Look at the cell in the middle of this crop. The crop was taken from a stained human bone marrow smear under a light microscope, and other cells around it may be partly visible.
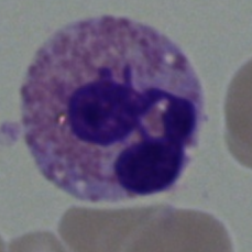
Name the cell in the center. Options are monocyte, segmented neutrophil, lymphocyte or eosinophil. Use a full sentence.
The centrally placed cell is classified as an eosinophil.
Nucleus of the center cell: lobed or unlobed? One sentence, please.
Kindly observe that the nucleus forms two or more lobes.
